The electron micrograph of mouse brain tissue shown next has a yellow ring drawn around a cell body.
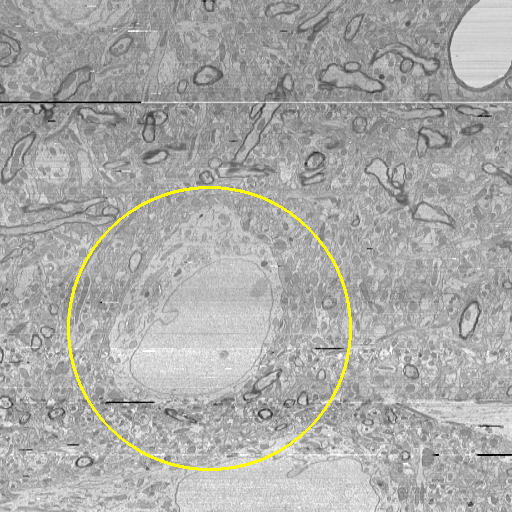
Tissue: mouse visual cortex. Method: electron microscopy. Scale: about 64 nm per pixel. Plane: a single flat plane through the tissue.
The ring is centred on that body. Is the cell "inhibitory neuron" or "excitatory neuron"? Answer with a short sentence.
The cell in question is an excitatory neuron.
